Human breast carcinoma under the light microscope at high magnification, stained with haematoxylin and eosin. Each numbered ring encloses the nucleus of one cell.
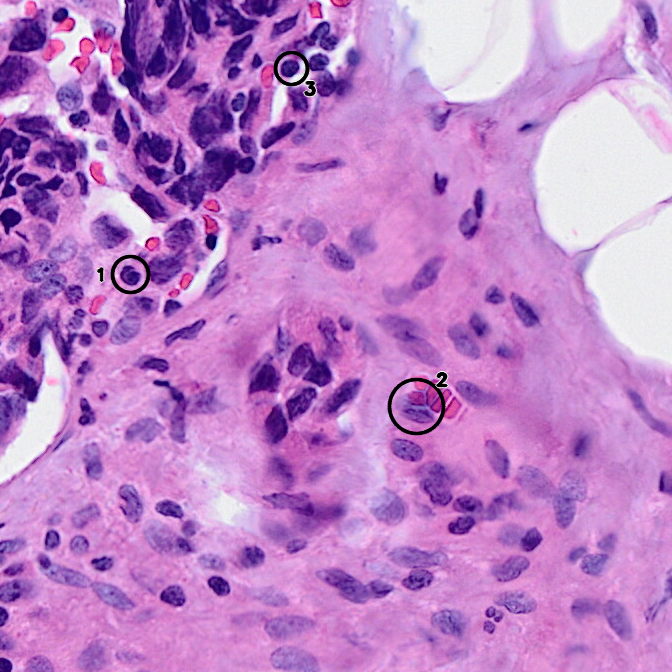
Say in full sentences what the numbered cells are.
Cell 1 is a lymphocyte, cell 2 is an endothelial cell and cell 3 is a lymphocyte.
